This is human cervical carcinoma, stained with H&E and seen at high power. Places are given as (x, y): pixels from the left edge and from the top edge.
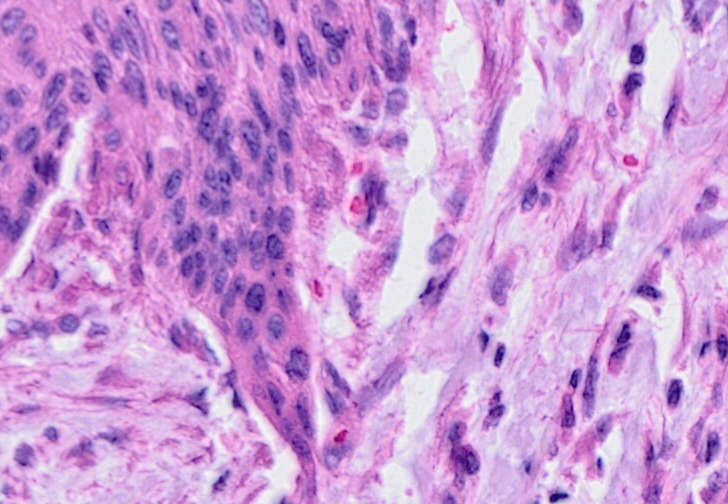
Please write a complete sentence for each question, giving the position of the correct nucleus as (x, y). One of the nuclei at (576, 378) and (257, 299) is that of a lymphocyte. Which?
The nucleus of the pair that lies within a lymphocyte is at (576, 378).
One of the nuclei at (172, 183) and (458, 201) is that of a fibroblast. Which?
Out of the two, it is the nucleus at (458, 201) that belongs to a fibroblast.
